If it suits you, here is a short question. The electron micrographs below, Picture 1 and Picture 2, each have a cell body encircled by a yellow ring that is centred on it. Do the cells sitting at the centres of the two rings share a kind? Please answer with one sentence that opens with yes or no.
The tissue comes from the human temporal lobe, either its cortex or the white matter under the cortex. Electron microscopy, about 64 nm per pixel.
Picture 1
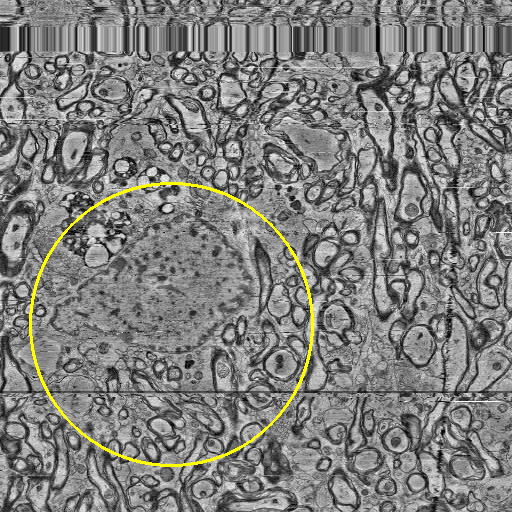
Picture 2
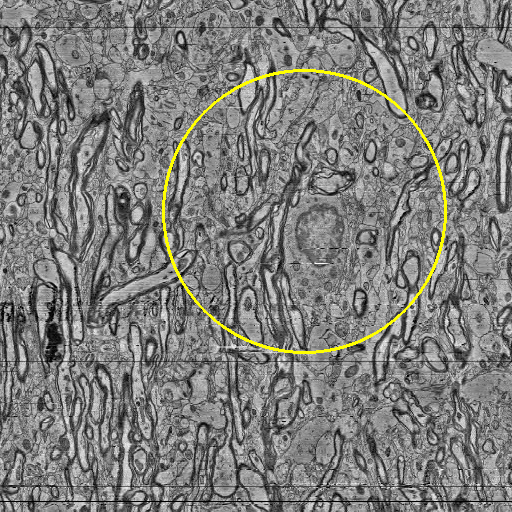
No, the two cells sitting at the ring centres fall into two kinds.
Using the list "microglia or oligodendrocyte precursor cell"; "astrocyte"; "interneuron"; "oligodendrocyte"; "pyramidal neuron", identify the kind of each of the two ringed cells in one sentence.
The first is an astrocyte and the second is an oligodendrocyte.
